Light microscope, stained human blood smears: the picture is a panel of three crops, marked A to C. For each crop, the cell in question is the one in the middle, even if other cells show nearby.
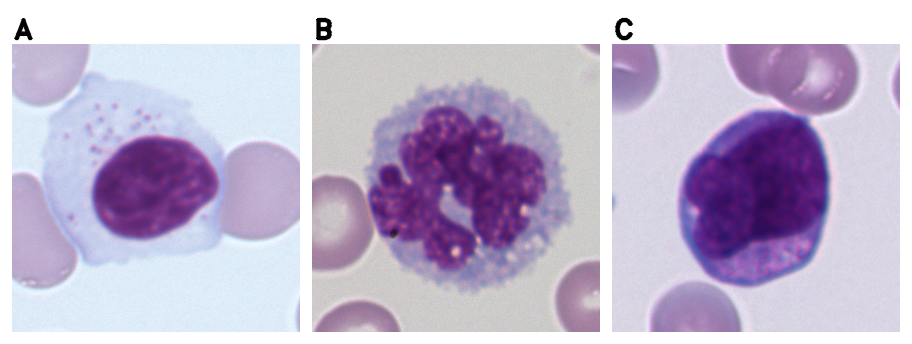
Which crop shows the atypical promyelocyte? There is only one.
C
